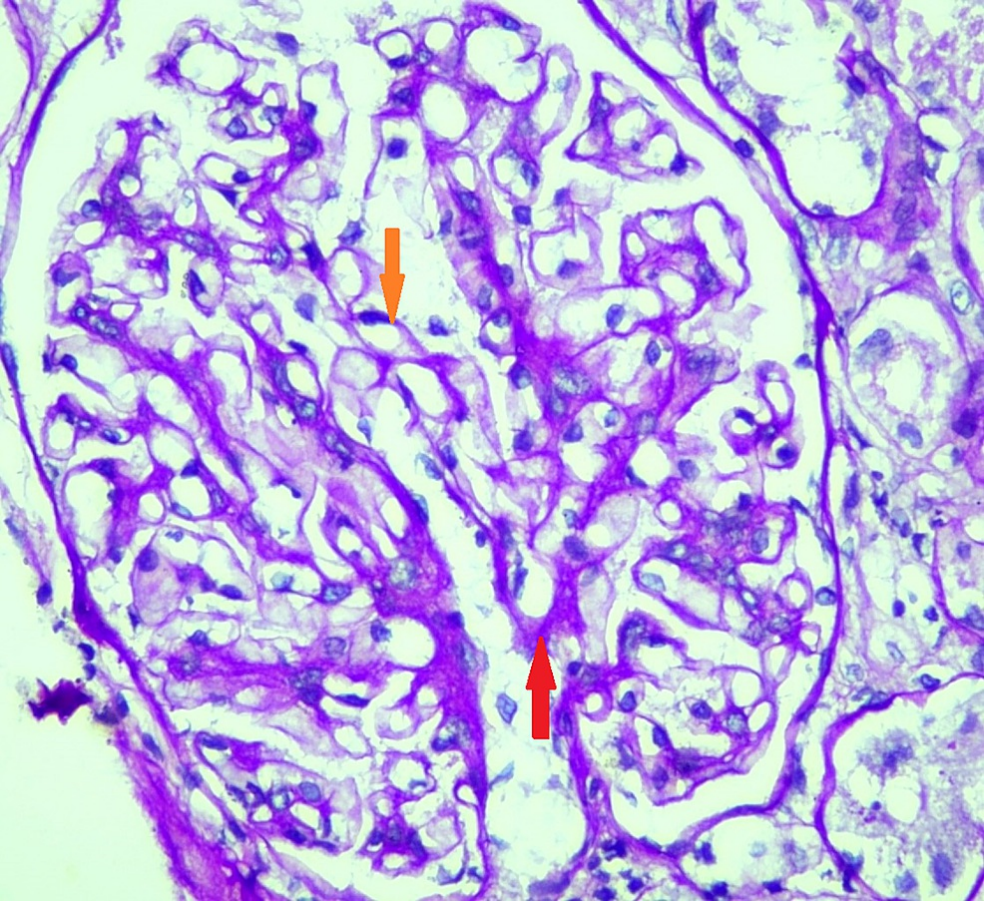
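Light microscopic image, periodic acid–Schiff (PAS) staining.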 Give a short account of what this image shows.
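A single large glomerulus fills most of the field, its lobulated capillary tuft lying within a space bounded by a thin magenta Bowman's capsule. The tuft is divided into several lobules by branching magenta stalks of mesangial matrix, which appear broadened where they run down the centre of the tuft. Around these stalks lie many open, rounded capillary lumens, each outlined by a crisp magenta basement membrane. Outside the capsule, cross-sections of tubules with magenta basement membranes and pale, vacuolated lining cells border the glomerulus on the right and lower right.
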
